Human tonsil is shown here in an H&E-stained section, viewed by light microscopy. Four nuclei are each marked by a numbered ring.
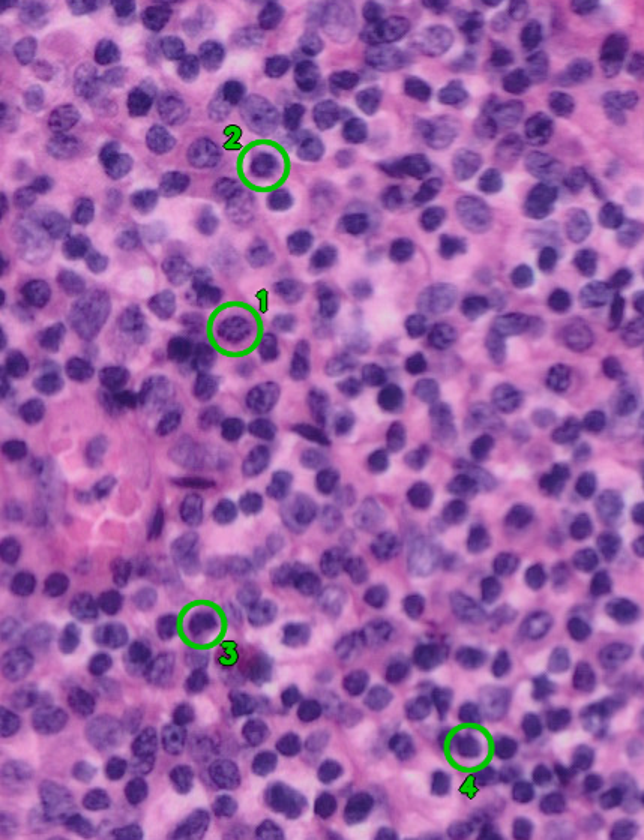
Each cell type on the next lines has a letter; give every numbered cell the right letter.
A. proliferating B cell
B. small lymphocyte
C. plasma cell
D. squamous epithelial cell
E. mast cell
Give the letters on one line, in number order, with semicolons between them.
C; C; C; B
